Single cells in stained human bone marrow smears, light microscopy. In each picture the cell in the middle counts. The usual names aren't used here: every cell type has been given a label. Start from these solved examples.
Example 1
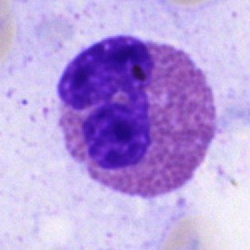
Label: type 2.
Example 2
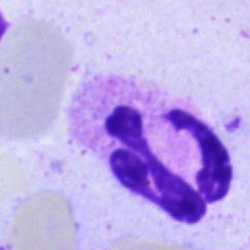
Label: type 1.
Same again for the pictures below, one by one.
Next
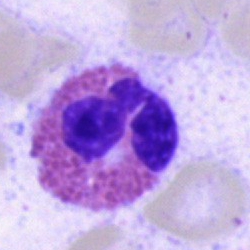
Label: type 2.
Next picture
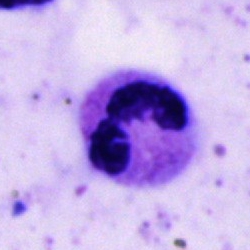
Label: type 1.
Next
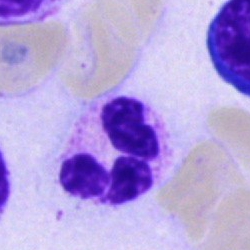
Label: type 1.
